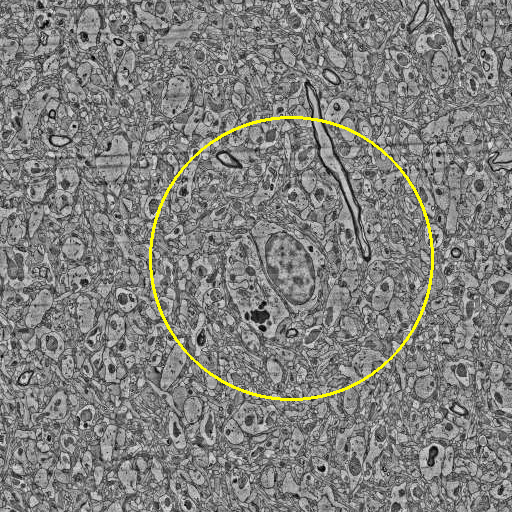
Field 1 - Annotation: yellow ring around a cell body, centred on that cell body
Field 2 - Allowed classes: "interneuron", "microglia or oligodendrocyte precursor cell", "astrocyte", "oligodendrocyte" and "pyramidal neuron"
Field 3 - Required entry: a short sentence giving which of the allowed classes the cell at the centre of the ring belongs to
The centred cell is a microglial cell or oligodendrocyte precursor cell.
